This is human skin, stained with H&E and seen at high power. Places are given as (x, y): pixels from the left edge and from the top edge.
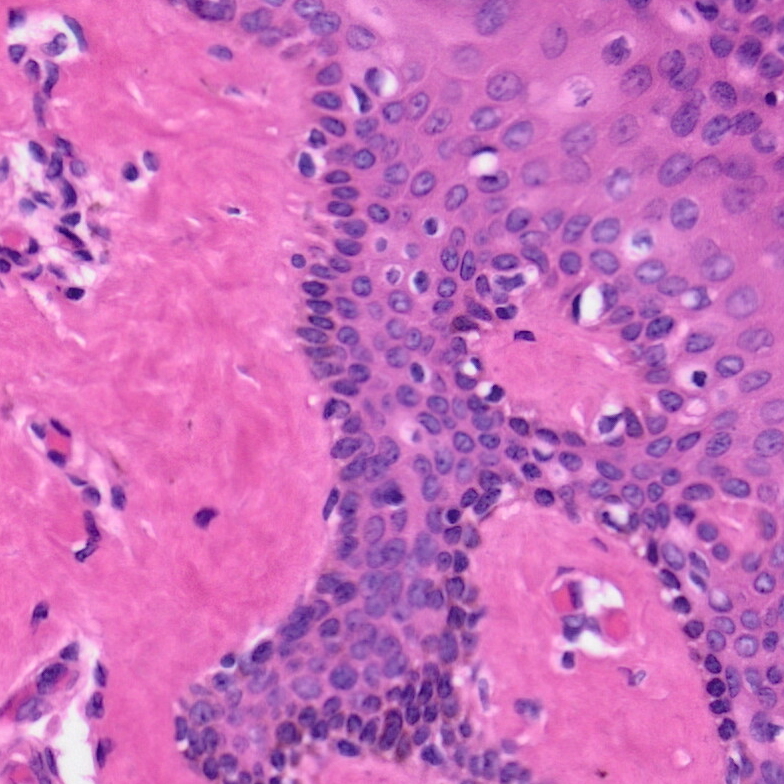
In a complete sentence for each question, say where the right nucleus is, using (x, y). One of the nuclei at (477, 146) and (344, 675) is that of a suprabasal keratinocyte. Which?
The nucleus at (477, 146) is attributed to a suprabasal keratinocyte, unlike the other nucleus.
